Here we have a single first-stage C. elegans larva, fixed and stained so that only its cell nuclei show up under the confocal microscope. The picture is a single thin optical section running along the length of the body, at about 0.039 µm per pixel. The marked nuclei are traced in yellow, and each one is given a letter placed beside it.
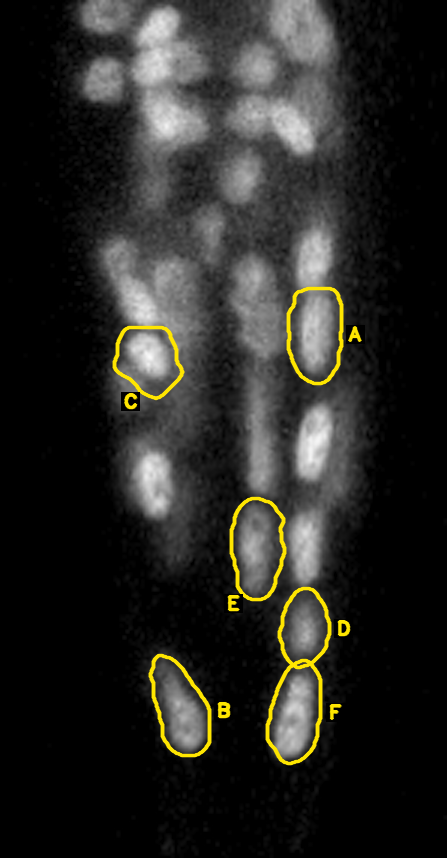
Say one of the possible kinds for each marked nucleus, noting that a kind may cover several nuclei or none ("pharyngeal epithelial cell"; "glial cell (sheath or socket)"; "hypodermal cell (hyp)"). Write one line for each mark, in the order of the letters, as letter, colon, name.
A: glial cell (sheath or socket)
B: hypodermal cell (hyp)
C: glial cell (sheath or socket)
D: hypodermal cell (hyp)
E: pharyngeal epithelial cell
F: hypodermal cell (hyp)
